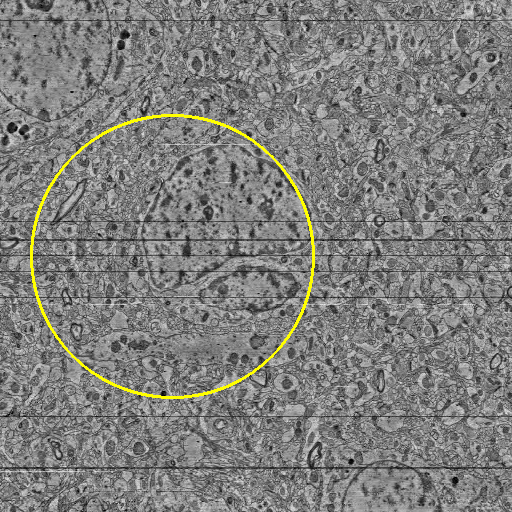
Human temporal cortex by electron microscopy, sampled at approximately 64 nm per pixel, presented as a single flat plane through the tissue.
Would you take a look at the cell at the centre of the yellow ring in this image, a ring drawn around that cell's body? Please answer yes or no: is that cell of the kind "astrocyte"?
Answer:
no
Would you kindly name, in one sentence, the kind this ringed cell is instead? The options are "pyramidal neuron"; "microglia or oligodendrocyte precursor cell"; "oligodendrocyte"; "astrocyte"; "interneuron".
Instead, the cell at the centre of the yellow ring is a microglial cell or oligodendrocyte precursor cell.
